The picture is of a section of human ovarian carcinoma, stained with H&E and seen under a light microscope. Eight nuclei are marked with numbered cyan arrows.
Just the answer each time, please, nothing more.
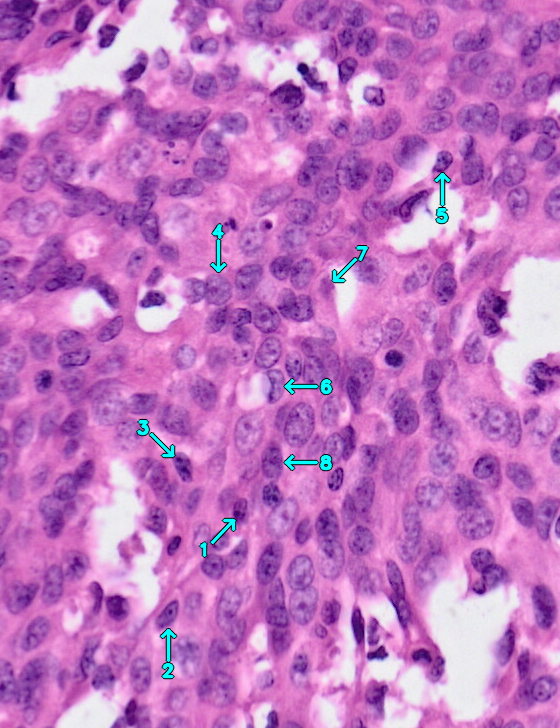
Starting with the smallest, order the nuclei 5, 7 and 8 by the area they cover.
7, 5, 8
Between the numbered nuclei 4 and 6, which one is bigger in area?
4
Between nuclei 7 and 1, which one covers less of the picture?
7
